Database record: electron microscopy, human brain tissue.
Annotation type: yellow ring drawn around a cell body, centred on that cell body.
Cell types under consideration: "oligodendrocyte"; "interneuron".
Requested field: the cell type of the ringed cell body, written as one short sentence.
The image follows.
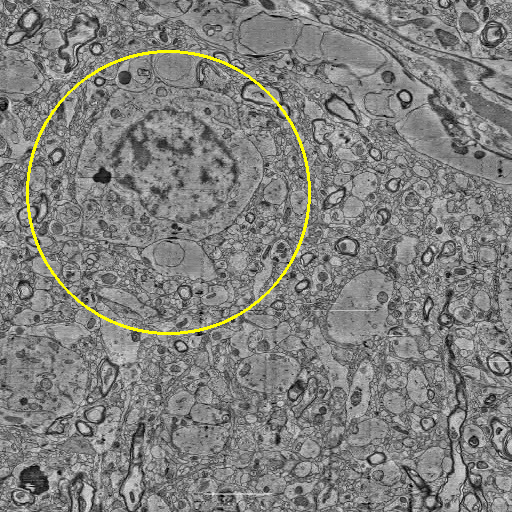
The ringed cell body represents an interneuron.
